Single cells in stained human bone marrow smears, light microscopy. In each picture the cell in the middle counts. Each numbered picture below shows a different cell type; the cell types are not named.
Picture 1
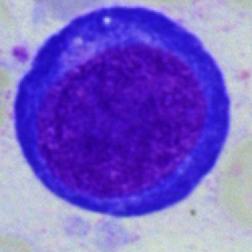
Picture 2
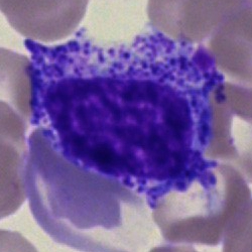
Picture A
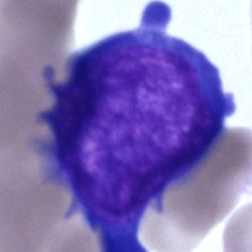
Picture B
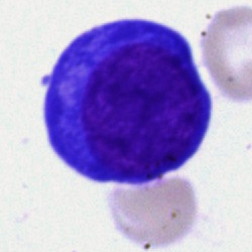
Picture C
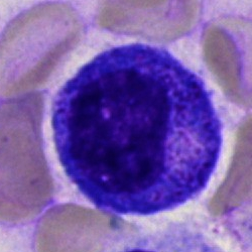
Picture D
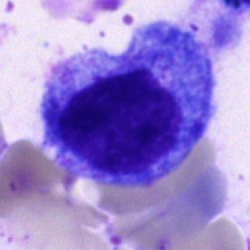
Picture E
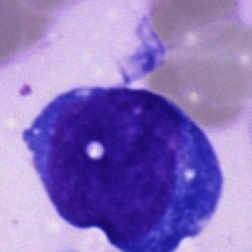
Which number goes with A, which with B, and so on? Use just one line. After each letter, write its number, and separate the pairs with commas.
A 1, B 1, C 2, D 2, E 1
